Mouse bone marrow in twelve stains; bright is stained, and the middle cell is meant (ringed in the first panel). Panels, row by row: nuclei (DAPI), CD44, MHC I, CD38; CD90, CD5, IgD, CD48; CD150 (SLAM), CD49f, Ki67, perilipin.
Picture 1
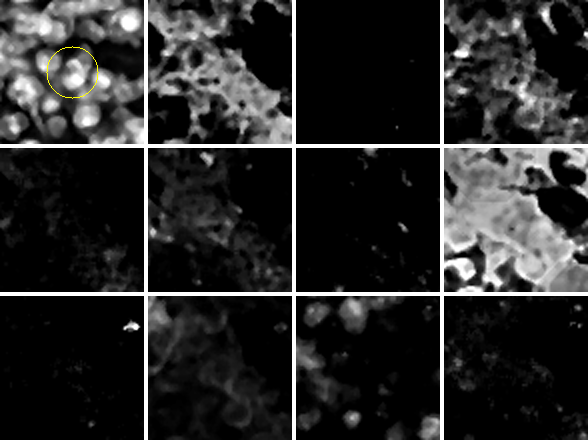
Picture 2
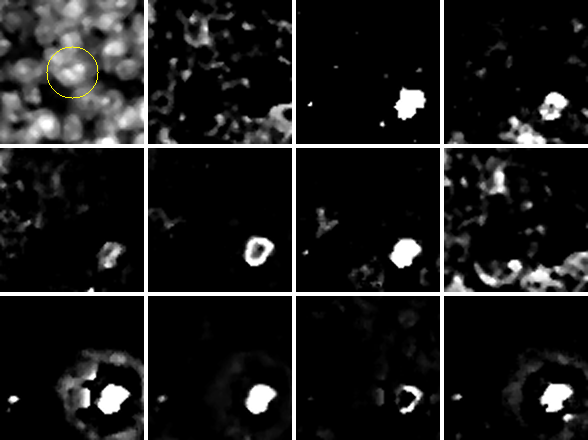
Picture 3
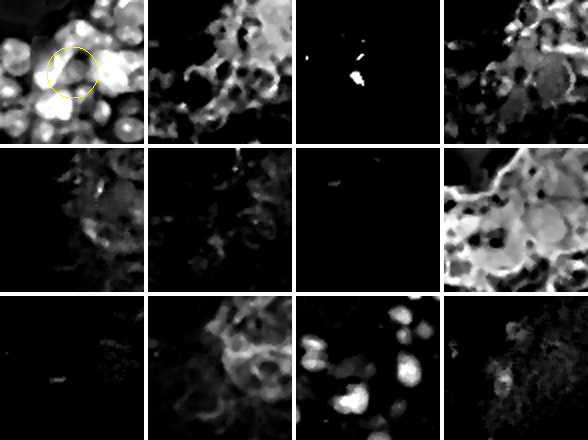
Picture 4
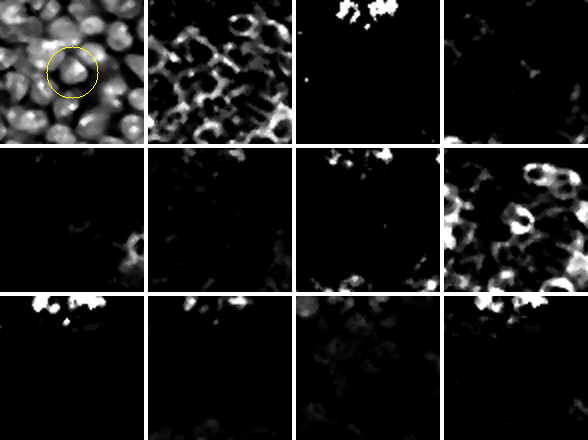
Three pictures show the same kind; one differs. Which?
Picture 2: a neutrophil, while the others are monocytes.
